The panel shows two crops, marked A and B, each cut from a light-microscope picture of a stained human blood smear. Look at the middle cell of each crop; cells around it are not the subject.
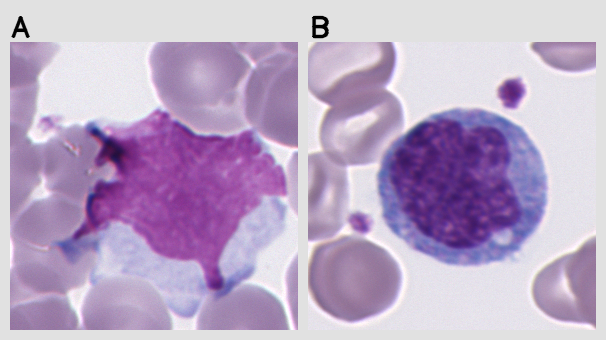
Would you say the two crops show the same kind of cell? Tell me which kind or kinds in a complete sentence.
Yes, the cells in the centres of the two crops are monocytes.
